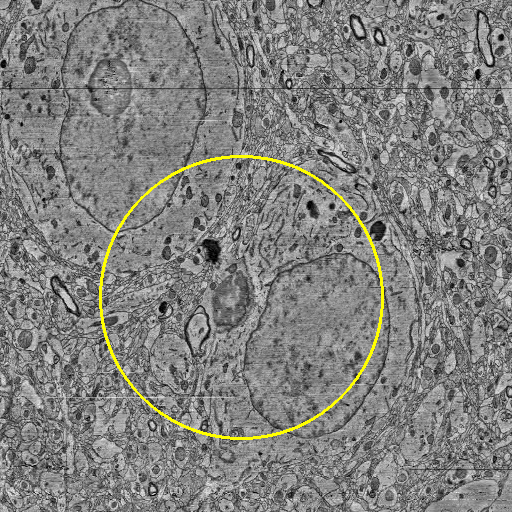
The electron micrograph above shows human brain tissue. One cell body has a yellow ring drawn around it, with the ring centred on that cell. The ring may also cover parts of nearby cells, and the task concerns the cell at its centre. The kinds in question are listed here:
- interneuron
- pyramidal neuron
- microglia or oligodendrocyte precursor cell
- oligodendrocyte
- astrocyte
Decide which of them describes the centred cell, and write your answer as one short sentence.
The centred cell is an oligodendrocyte.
